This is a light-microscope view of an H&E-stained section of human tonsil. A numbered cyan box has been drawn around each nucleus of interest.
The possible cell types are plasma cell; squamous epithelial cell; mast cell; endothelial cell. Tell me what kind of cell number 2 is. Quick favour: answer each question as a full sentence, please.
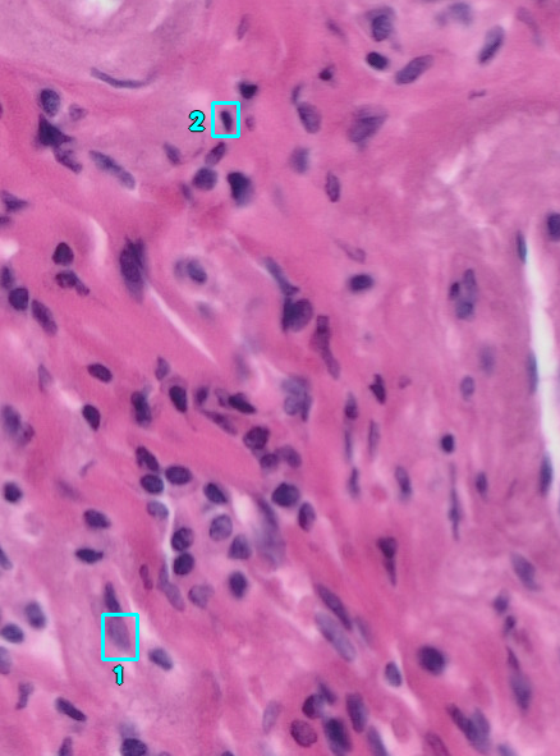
Within this field of view, the cell labelled 2 is a mast cell.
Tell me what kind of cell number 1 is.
The cell that is numbered 1 is an endothelial cell.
